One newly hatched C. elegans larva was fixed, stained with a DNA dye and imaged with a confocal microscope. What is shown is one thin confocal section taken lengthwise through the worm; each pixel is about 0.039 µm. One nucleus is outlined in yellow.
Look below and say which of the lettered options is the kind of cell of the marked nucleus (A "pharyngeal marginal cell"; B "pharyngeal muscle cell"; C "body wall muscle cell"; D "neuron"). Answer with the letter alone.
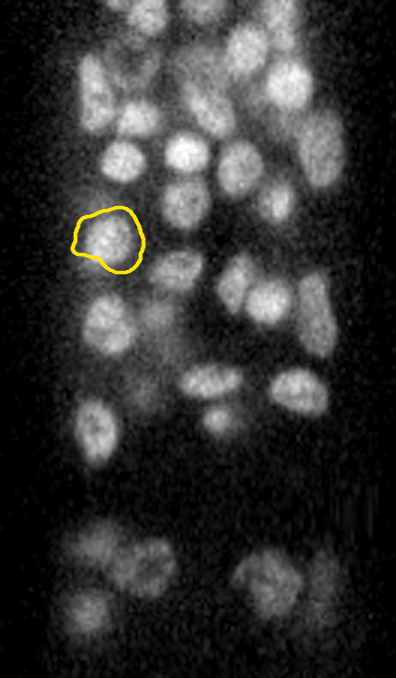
C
